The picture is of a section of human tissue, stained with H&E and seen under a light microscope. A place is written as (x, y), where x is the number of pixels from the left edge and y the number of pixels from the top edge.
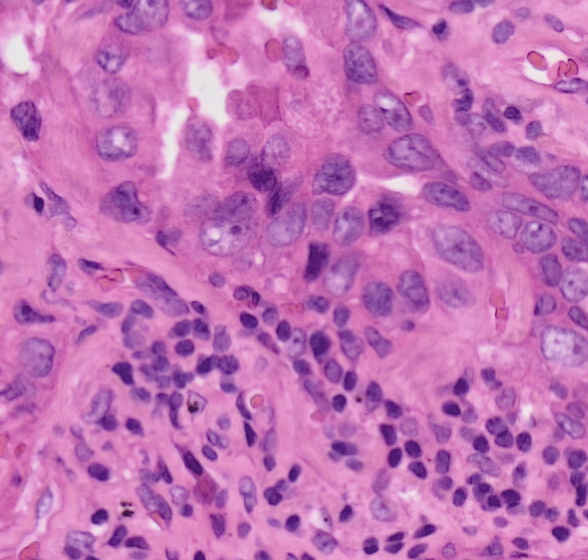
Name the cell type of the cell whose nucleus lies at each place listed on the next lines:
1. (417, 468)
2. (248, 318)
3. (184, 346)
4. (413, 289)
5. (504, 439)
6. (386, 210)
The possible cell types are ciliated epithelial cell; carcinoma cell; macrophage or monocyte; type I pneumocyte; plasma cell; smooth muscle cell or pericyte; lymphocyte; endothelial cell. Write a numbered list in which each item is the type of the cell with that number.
1. lymphocyte
2. lymphocyte
3. lymphocyte
4. carcinoma cell
5. lymphocyte
6. carcinoma cell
